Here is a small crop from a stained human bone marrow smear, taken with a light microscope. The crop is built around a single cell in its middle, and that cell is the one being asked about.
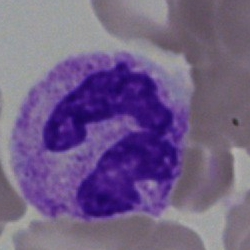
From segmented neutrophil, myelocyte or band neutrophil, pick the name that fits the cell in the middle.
segmented neutrophil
